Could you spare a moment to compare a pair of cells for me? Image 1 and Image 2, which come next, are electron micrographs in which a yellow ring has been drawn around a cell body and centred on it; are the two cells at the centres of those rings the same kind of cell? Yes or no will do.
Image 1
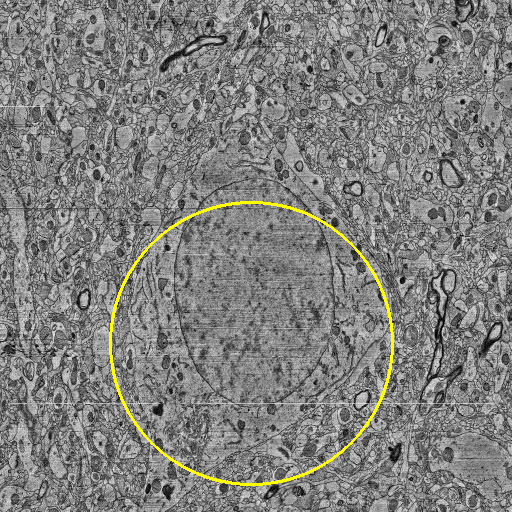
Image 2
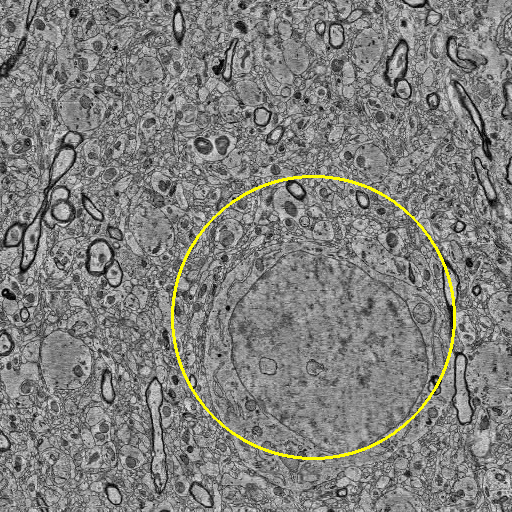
no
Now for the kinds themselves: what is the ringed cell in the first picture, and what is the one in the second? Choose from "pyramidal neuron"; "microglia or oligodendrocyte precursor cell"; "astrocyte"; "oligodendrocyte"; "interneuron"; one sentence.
Here the first cell is a pyramidal neuron and the second cell is an interneuron.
